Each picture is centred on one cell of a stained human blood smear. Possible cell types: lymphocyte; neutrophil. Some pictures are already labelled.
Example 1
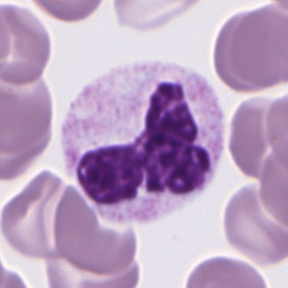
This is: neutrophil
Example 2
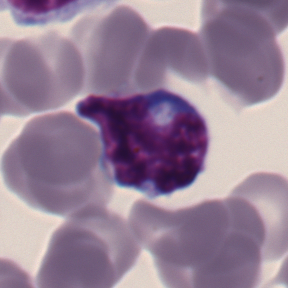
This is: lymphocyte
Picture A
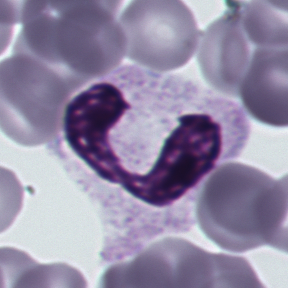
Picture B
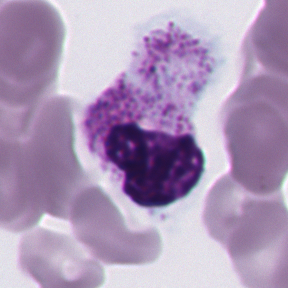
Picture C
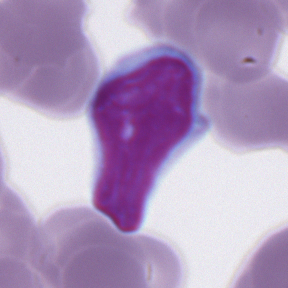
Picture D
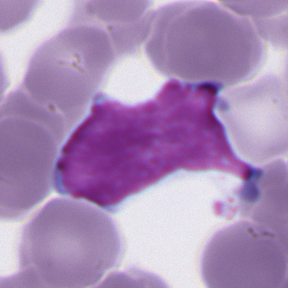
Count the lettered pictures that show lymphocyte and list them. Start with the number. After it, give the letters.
2, namely C, D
